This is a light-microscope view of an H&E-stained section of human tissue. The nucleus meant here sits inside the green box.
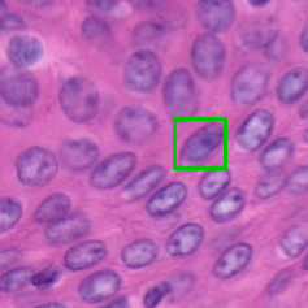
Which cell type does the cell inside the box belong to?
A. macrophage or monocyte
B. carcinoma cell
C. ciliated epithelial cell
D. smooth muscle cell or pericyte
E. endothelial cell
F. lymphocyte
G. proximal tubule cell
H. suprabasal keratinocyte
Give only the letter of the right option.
H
